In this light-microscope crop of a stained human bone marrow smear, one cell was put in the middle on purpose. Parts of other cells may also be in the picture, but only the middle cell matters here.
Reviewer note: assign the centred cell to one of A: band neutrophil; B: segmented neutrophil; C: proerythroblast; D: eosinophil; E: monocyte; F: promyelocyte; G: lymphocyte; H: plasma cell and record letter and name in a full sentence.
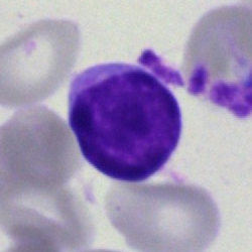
That cell in the center is a lymphocyte, hence option G.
